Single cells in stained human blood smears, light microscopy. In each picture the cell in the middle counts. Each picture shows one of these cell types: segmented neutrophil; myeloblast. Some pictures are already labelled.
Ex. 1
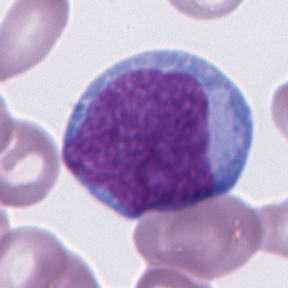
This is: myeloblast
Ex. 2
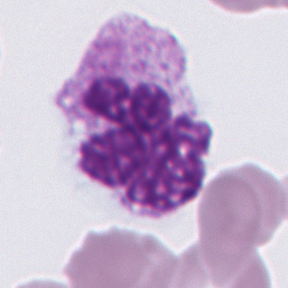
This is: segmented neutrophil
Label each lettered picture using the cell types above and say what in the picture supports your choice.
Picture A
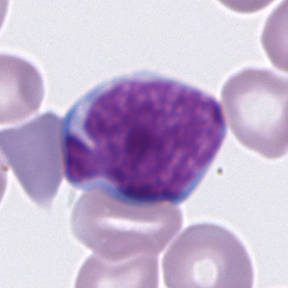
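myeloblast: The cytoplasm forms only a thin rim around the nucleus.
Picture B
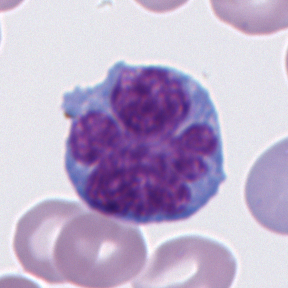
myeloblast: The cytoplasm shows as a narrow rim around and between the nuclear lobes.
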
